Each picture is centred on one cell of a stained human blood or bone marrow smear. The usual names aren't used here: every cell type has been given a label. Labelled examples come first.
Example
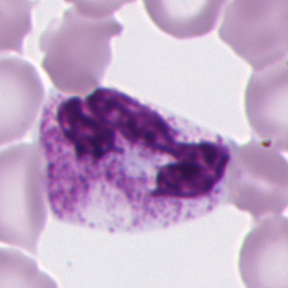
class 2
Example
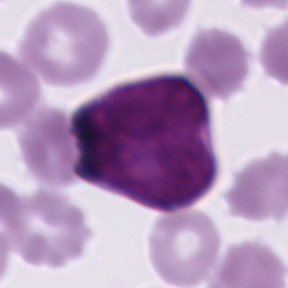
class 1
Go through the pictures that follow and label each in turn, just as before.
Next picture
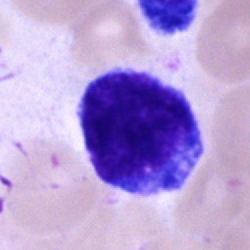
class 1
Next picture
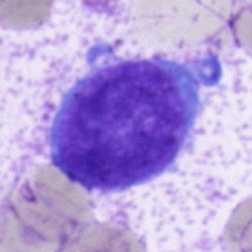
class 1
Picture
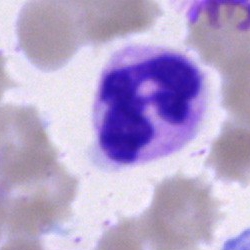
class 2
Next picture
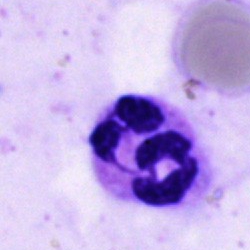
class 2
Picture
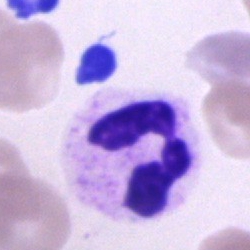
class 2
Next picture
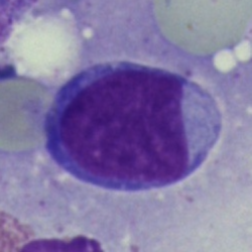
class 1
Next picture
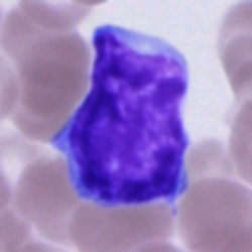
class 1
